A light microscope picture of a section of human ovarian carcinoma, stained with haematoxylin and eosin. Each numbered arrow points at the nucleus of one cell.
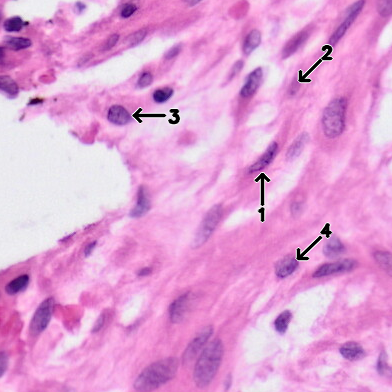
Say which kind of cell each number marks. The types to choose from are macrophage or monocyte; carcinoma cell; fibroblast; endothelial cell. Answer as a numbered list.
1. fibroblast
2. fibroblast
3. macrophage or monocyte
4. fibroblast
